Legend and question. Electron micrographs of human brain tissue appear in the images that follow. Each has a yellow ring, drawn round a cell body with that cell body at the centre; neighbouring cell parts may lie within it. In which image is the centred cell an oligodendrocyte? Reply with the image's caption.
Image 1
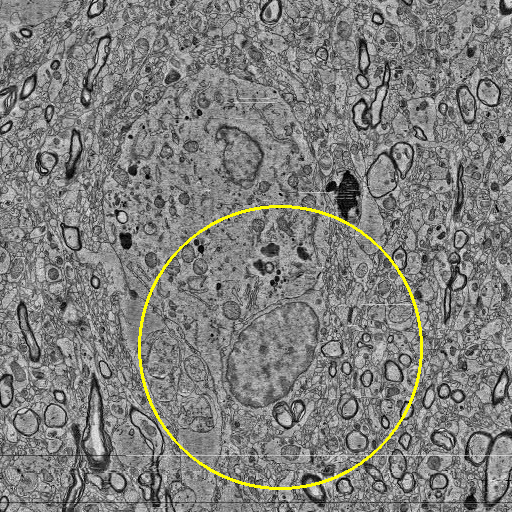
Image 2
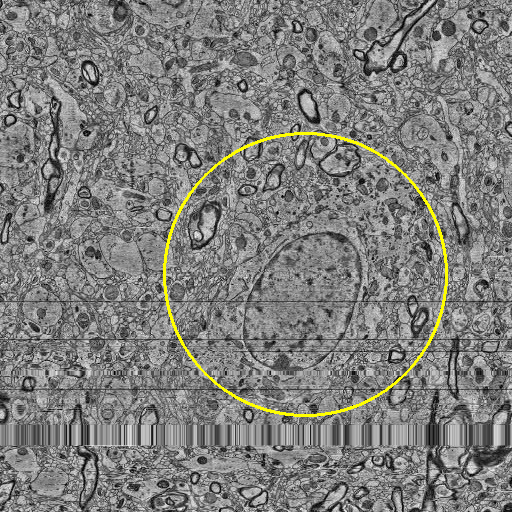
Image 1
